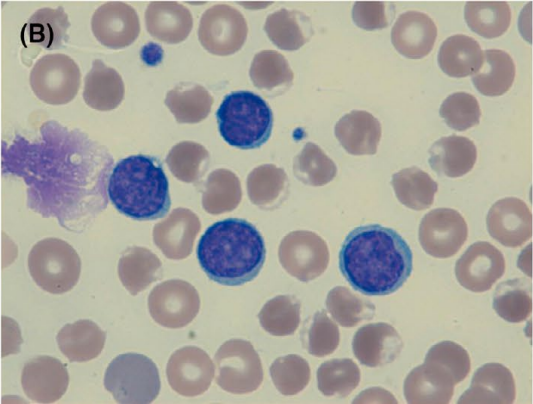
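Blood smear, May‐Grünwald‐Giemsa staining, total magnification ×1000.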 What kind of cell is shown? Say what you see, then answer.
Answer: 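Lymphocytes. Four round cells are little larger than the red cells around them. Each has a round nucleus with clumped purple chromatin. Each has a narrow rim of blue cytoplasm.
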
